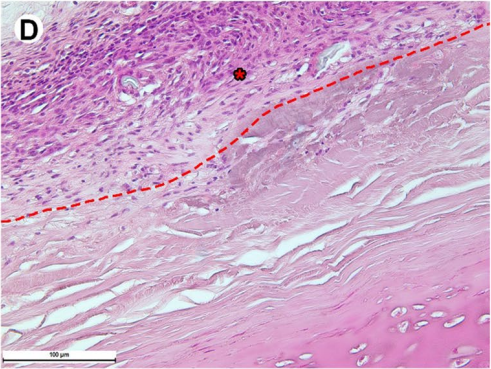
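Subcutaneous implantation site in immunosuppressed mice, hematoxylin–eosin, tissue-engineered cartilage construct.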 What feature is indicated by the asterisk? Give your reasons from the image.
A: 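Connective tissue capsule. A broad band of densely packed cells with purple nuclei lies above the red dashed line. This cellular band borders paler, less cellular pink fibrous material below the line. Small vessel-like spaces lie within the cellular band.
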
